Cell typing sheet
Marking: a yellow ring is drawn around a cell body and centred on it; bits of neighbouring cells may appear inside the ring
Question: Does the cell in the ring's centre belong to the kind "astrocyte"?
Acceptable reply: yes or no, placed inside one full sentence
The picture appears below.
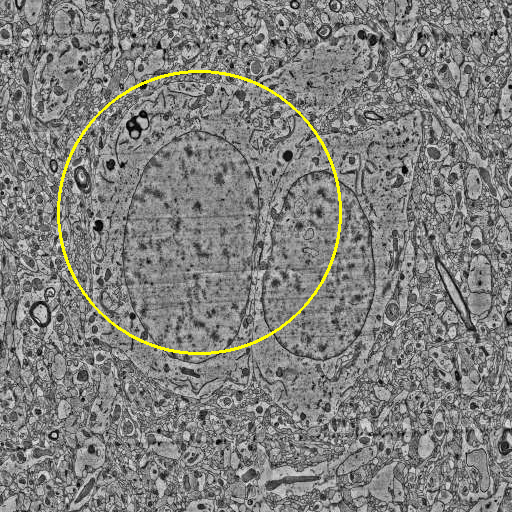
No, the cell at the centre of the ring belongs to a different kind.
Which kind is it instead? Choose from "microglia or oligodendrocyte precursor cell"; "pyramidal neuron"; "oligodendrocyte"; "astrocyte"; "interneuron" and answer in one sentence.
The cell ringed in the picture is a pyramidal neuron.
